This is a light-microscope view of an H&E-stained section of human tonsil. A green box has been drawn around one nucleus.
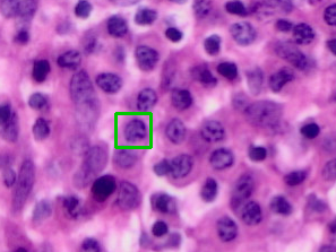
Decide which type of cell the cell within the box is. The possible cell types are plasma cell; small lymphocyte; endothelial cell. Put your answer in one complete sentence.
On this particular slide, the cell within the box is a plasma cell.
